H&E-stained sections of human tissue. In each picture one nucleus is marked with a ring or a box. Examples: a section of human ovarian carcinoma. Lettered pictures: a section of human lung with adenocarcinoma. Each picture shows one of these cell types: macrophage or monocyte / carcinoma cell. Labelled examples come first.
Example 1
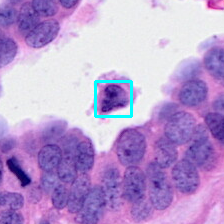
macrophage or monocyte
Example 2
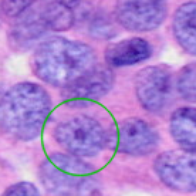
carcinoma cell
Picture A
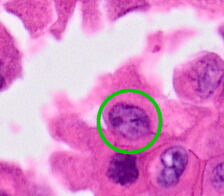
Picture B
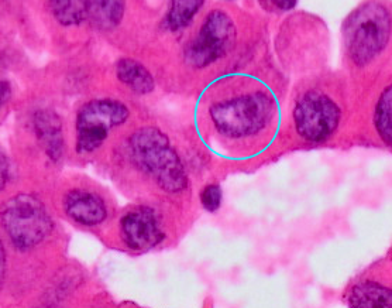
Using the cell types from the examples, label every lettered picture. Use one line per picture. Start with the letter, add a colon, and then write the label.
A: carcinoma cell
B: carcinoma cell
